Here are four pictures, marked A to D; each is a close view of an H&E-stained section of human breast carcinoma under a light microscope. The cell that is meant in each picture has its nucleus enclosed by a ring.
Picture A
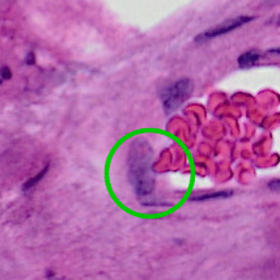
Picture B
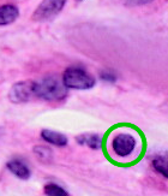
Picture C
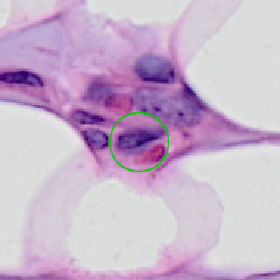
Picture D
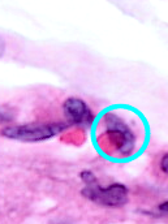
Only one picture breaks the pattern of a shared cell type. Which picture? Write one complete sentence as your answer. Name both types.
The others show endothelial cells, but picture B shows a lymphocyte.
